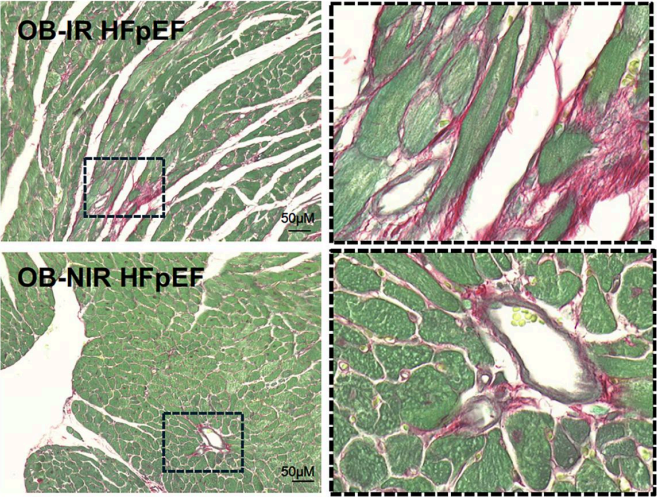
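This is heart muscle in which the muscle fibres are stained green and a fibrous material between them is stained red. In the upper images the fibres run lengthwise in bundles, separated by white clefts, and red strands follow the spaces between them. In the lower images the fibres are cut more across, and red fibres encircle a small vessel and trace thin lines between the muscle cells. The enlarged boxed areas show the red fibres wrapping around the green muscle fibres.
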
